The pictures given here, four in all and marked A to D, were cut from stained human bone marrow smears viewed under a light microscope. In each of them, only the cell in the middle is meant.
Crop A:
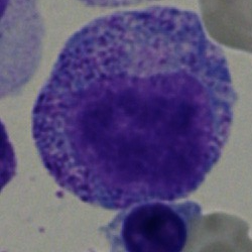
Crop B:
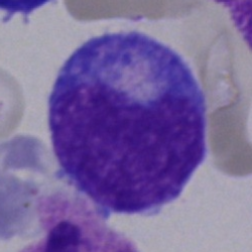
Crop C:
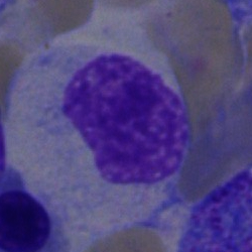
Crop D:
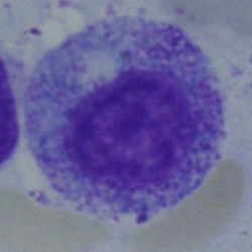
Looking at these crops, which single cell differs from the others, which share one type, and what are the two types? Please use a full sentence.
All of the other crops show promyelocytes; crop C, by contrast, is a myelocyte.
